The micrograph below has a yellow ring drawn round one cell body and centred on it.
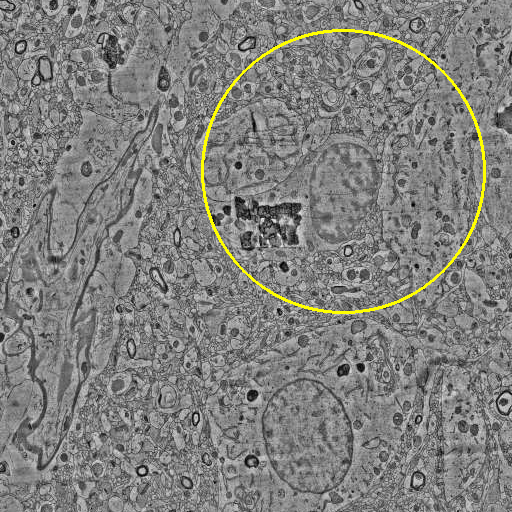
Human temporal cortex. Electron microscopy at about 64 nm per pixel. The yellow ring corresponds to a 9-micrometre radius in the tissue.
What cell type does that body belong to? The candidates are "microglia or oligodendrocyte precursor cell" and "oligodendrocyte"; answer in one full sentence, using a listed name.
This is an oligodendrocyte, the cell whose body lies at the centre of the ring.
